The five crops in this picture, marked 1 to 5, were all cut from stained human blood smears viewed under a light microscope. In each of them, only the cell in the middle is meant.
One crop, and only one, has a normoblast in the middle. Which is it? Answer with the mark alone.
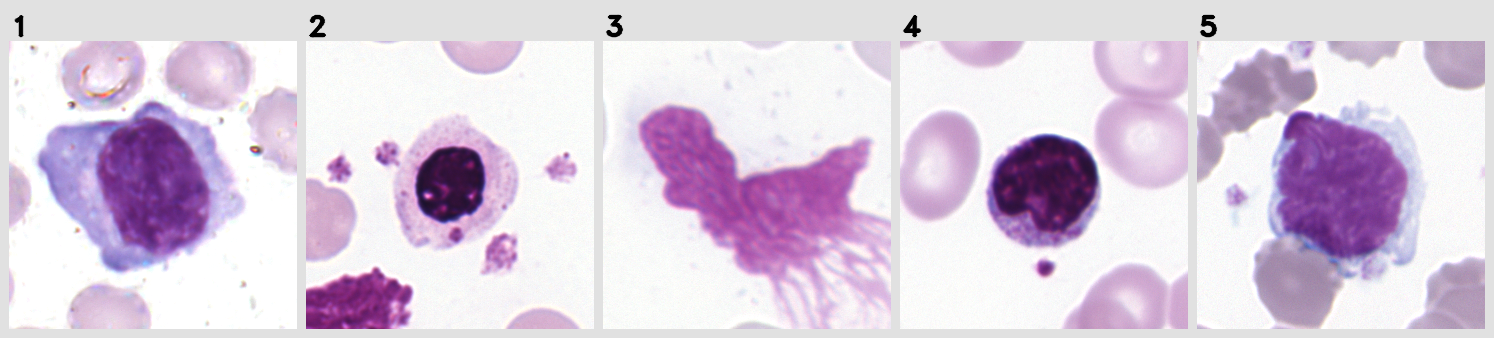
2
